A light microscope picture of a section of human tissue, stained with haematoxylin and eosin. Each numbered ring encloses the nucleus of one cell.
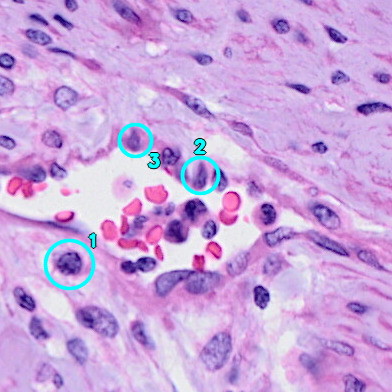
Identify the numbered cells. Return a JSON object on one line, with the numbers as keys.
{"1": "lymphocyte", "2": "endothelial cell", "3": "endothelial cell"}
